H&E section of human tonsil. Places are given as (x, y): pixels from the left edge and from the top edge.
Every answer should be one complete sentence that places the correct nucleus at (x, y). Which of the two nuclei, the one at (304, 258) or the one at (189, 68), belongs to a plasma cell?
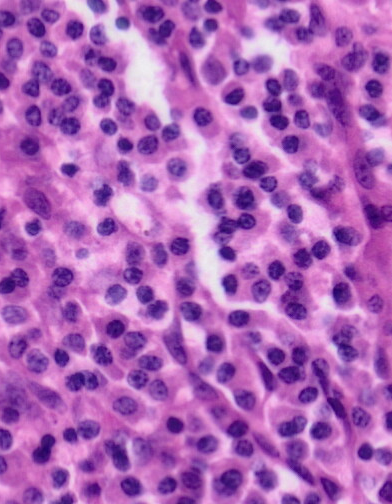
Of the two nuclei, that at (304, 258) is the nucleus of a plasma cell.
